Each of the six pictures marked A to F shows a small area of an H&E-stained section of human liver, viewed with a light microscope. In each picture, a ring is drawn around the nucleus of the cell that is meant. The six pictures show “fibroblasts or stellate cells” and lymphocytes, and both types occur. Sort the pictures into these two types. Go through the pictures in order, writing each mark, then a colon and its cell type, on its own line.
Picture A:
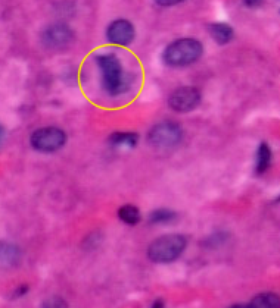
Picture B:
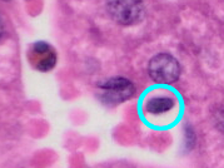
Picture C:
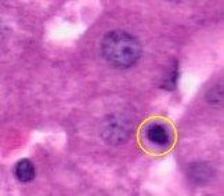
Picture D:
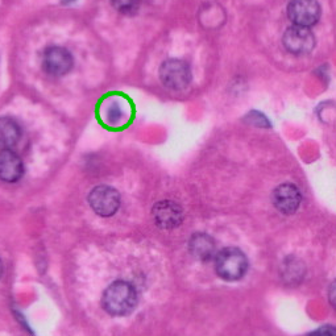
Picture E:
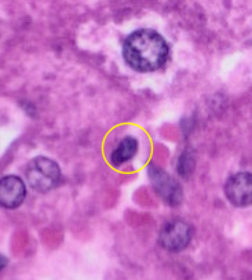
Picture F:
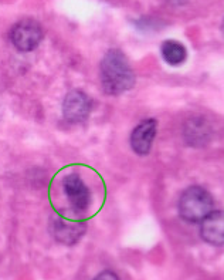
A: fibroblast or stellate cell
B: lymphocyte
C: lymphocyte
D: lymphocyte
E: lymphocyte
F: fibroblast or stellate cell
